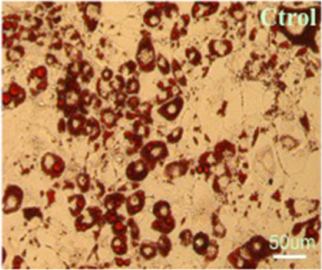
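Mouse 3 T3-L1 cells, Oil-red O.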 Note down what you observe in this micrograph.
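A cultured monolayer is crowded with rounded cells whose cytoplasm is packed with droplets stained red. The droplets vary from small specks to larger round globules, and in many cells they line the rim and leave a paler centre. Between these cells lie flat, pale cells with faint outlines that hold little or no red material. The red-filled cells cluster densely in places and are scattered elsewhere.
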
